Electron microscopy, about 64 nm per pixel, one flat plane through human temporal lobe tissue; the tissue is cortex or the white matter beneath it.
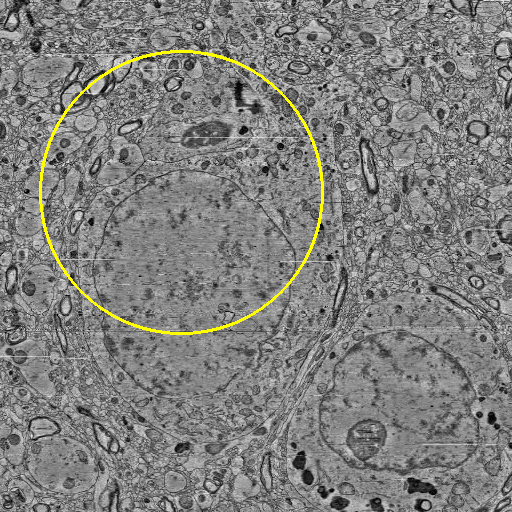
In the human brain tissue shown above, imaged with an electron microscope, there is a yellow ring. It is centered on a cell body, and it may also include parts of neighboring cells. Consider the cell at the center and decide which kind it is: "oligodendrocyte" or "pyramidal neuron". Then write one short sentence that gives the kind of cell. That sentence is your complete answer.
This centered cell body is that of a pyramidal neuron.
